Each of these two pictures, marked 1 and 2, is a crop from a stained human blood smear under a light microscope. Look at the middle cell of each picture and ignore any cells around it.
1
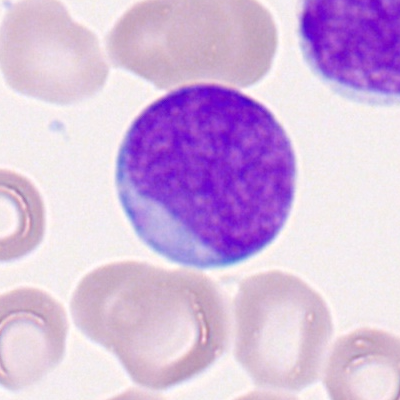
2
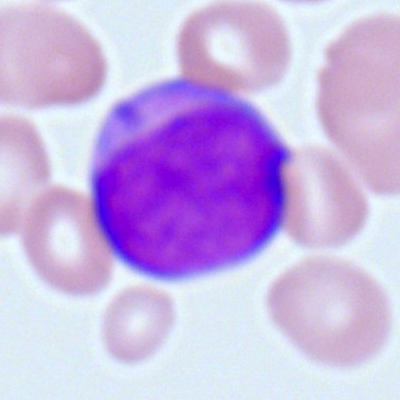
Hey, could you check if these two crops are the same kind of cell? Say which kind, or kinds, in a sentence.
Yes, myeloblasts occupy the centre of both crops.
